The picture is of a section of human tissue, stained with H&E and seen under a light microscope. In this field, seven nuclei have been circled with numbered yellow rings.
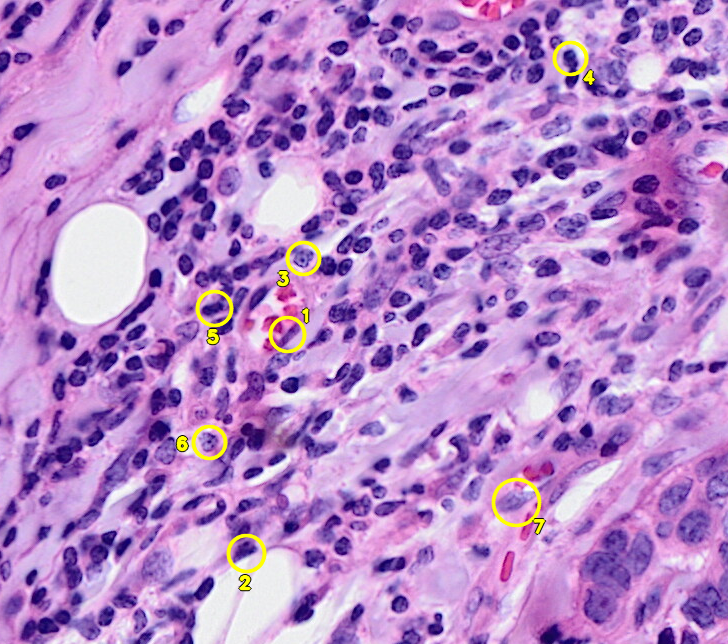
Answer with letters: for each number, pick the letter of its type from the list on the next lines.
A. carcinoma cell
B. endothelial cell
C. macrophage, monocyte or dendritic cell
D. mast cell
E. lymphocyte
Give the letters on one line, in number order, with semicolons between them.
B; E; E; E; E; D; B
